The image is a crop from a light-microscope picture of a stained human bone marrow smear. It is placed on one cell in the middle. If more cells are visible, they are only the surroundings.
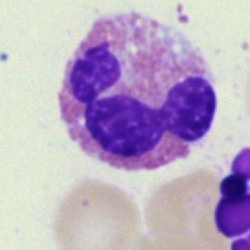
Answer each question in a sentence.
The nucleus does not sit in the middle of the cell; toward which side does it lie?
Toward the bottom of the cell lies its nucleus.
